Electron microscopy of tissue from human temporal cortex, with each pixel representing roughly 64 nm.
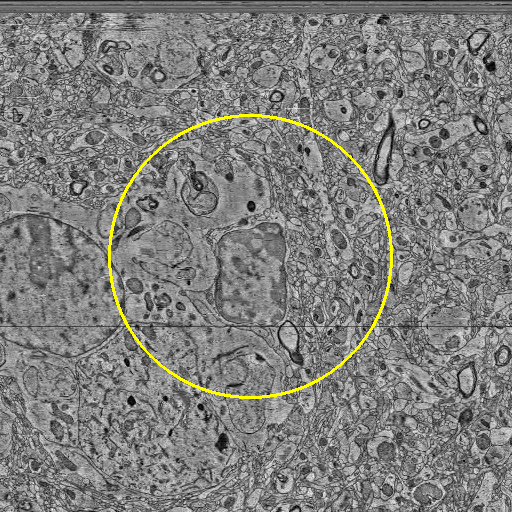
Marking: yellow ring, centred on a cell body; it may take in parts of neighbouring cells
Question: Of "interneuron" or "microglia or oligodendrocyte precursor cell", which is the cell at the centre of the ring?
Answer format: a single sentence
The ring surrounds the body of a microglial cell or oligodendrocyte precursor cell.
